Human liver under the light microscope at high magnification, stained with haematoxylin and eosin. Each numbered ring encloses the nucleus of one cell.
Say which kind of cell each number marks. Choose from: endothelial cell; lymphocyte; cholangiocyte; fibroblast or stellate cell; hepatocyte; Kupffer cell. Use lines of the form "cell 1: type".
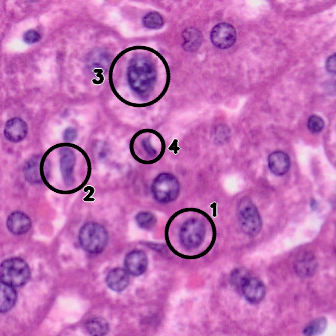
cell 1: hepatocyte
cell 2: Kupffer cell
cell 3: hepatocyte
cell 4: endothelial cell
